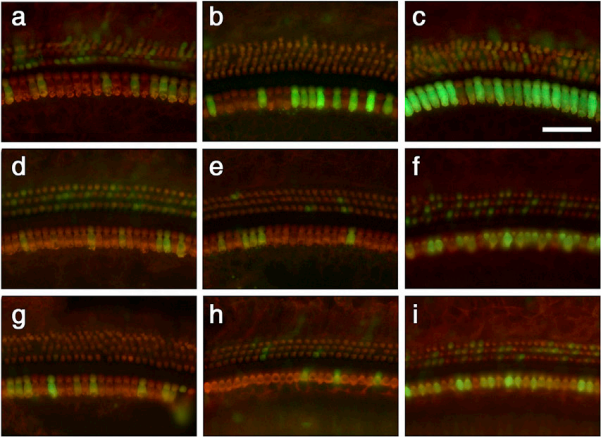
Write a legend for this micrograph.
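These are flat views of the organ of Corti, the sensory strip of the cochlea, showing its hair cells labelled in red. In every image the hair cells lie in a strict pattern: one row of larger inner hair cells along the lower edge, and above it three parallel rows of smaller outer hair cells. The cells are packed side by side at regular intervals, so the rows look like strings of beads following the gentle curve of the strip. Many of the inner hair cells are filled with green, appearing as bright oblong cell bodies within the lower row. The outer hair cell rows carry green in only scattered cells in most images, so the upper rows stay mostly red. The amount of green varies from image to image, strongest in the lower row of the top right image.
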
